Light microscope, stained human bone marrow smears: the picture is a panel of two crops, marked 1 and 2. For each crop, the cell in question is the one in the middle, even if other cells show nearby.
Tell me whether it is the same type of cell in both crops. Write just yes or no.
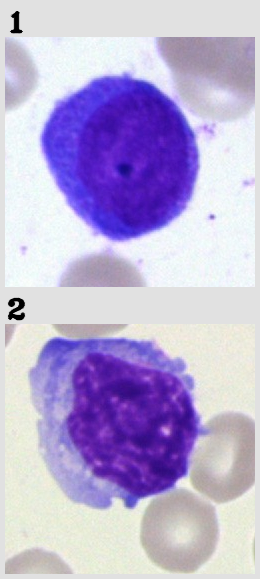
yes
